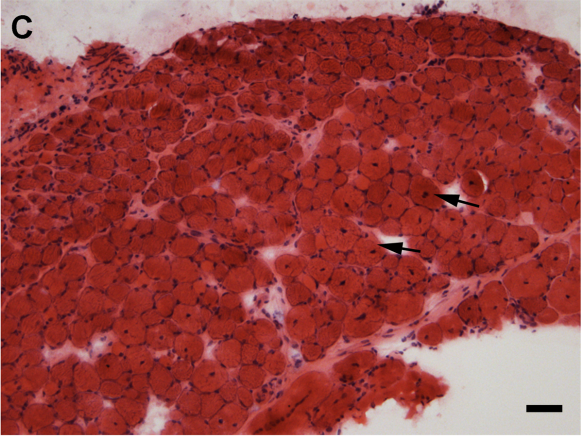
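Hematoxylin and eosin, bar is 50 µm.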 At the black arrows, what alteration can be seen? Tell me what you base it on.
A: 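The arrows point to red-stained polygonal fibers in cross-section. A dark purple nucleus sits in the middle of each indicated fiber rather than at its edge. That points to this answer: myofibers with centrally located nuclei.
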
